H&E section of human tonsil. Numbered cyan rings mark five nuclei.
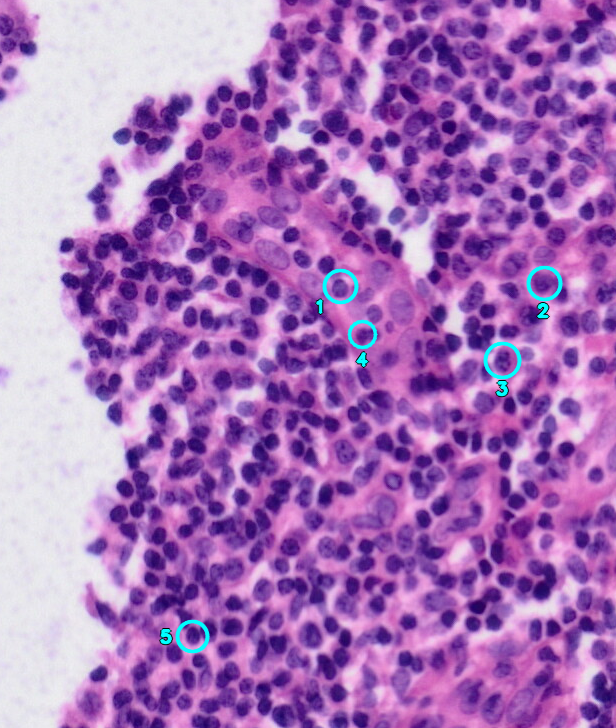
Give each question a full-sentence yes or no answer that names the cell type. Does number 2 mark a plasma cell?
Yes, the cell at marker 2 is a plasma cell.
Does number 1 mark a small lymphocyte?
No, the identification of cell 1 as a small lymphocyte is incorrect; it is an endothelial cell.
